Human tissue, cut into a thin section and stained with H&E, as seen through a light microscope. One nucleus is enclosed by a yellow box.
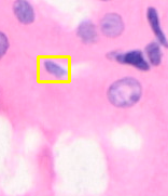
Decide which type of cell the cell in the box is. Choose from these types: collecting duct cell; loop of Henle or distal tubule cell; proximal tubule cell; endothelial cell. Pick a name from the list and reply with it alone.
endothelial cell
